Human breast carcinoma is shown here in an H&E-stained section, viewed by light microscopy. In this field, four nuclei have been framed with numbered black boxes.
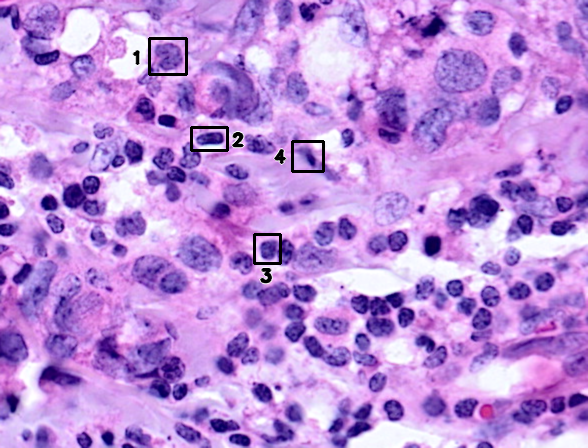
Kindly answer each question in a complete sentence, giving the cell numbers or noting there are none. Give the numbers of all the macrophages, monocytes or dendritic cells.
Only the cell at mark 1 is a macrophage, monocyte or dendritic cell, and no other marked cell is.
